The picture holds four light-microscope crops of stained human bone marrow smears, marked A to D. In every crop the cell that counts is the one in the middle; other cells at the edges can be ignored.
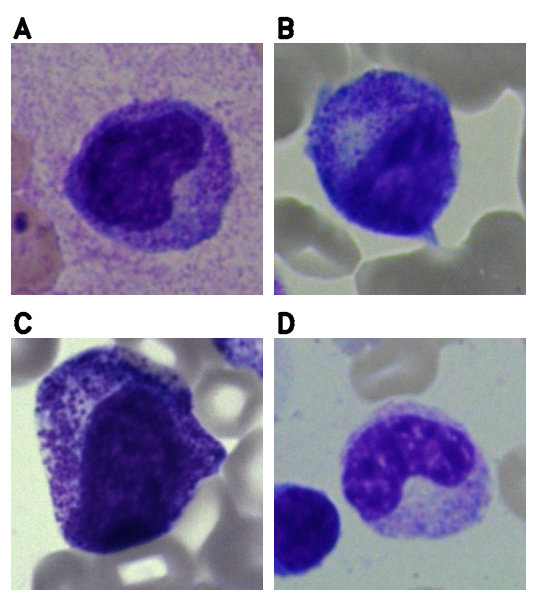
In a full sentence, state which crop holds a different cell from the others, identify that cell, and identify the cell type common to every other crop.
Of the crops, all show myelocytes save crop D, which shows a metamyelocyte.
